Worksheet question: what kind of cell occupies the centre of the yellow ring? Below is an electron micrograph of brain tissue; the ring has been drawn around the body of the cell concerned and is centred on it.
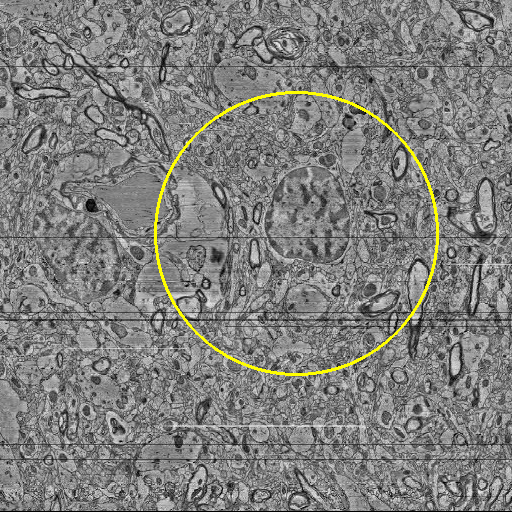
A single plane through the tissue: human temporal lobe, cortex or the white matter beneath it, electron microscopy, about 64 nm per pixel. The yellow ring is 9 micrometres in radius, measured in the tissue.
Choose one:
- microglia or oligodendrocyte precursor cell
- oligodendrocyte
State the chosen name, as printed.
microglia or oligodendrocyte precursor cell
